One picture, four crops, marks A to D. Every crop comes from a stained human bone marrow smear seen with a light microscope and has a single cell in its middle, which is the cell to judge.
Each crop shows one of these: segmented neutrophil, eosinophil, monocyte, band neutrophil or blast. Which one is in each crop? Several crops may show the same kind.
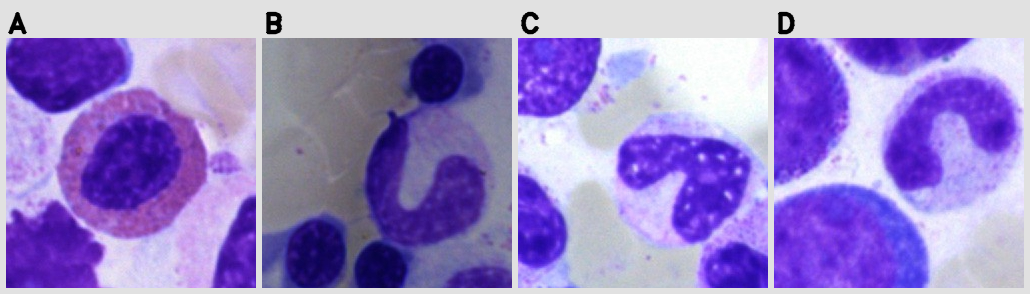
A: eosinophil
B: band neutrophil
C: band neutrophil
D: band neutrophil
